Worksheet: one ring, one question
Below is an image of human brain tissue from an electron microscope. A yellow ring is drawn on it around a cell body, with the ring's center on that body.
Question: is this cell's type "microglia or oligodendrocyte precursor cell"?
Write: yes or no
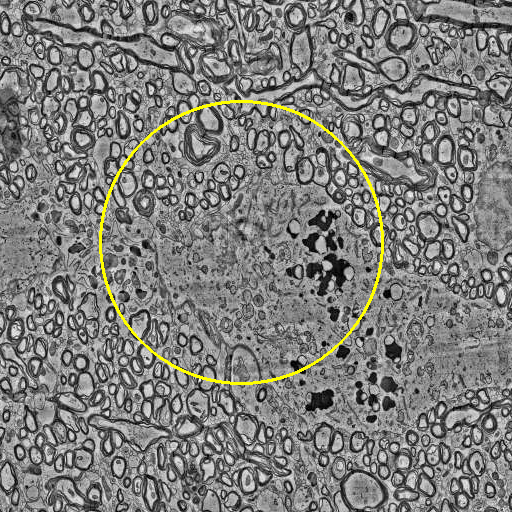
yes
